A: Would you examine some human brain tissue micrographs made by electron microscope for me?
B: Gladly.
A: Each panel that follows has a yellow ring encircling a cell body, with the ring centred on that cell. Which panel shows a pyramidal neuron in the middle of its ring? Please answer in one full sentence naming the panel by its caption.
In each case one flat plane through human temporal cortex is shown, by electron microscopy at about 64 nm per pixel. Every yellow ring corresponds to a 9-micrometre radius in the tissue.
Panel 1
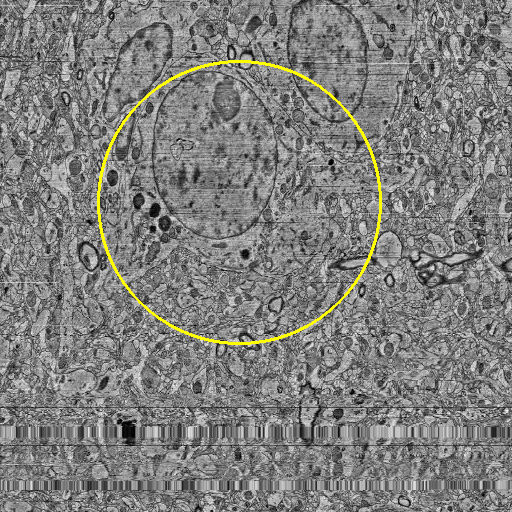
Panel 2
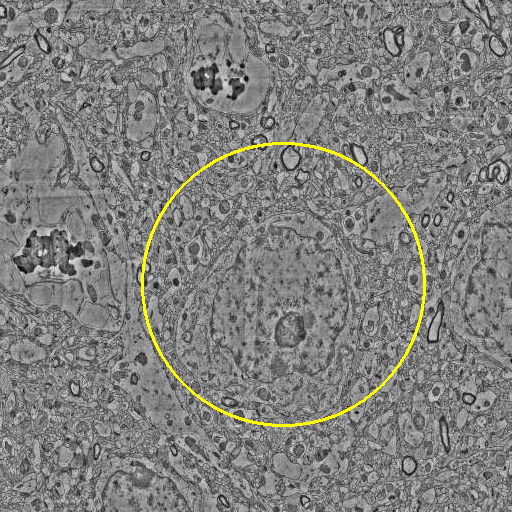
Panel 1 is where the ring sits centred on the requested cell.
